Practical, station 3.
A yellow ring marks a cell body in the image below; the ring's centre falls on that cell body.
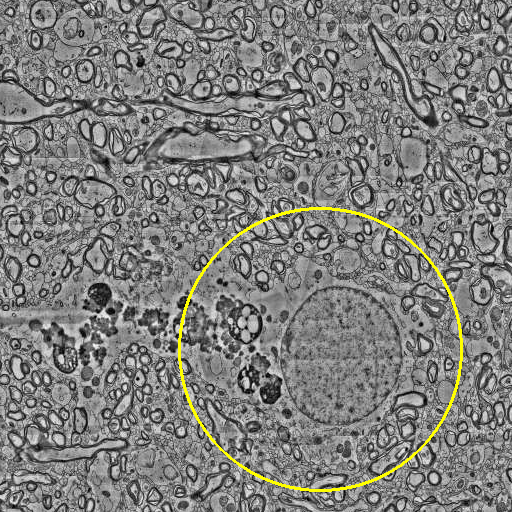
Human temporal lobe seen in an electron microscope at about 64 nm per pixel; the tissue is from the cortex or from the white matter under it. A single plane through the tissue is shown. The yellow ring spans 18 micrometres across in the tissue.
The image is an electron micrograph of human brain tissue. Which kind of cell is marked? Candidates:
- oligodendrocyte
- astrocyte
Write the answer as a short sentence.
The marked cell body is that of an astrocyte.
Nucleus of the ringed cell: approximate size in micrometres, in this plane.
The nucleus appears about 8 micrometres across in this plane.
